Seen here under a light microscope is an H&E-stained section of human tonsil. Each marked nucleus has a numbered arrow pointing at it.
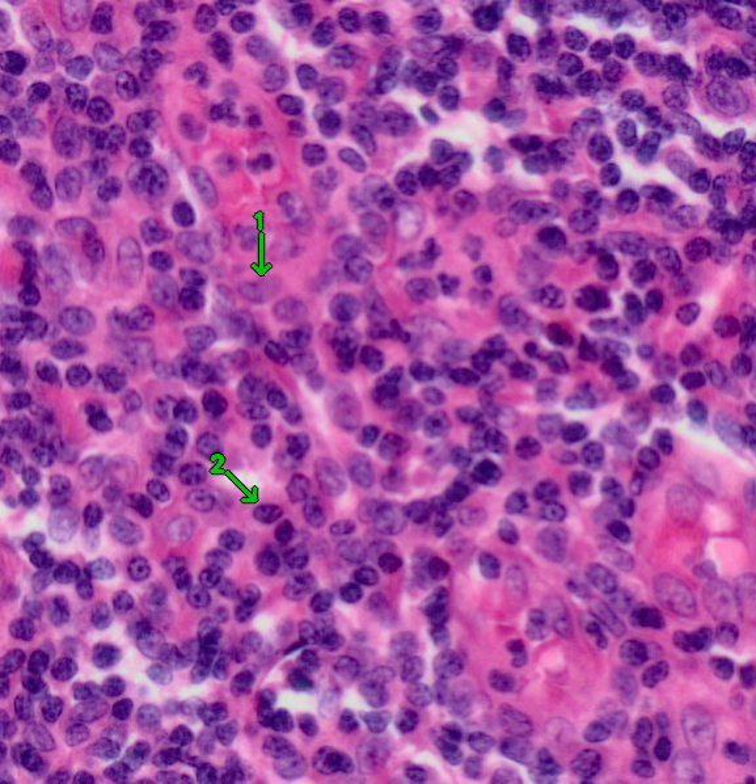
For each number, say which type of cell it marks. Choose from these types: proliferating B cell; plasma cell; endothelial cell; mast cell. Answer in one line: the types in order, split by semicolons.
endothelial cell; plasma cell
